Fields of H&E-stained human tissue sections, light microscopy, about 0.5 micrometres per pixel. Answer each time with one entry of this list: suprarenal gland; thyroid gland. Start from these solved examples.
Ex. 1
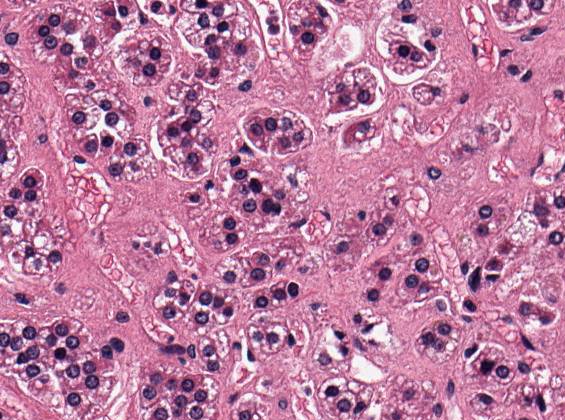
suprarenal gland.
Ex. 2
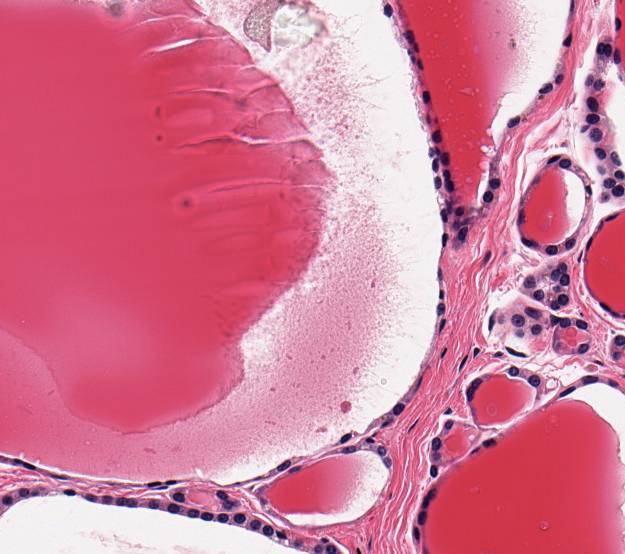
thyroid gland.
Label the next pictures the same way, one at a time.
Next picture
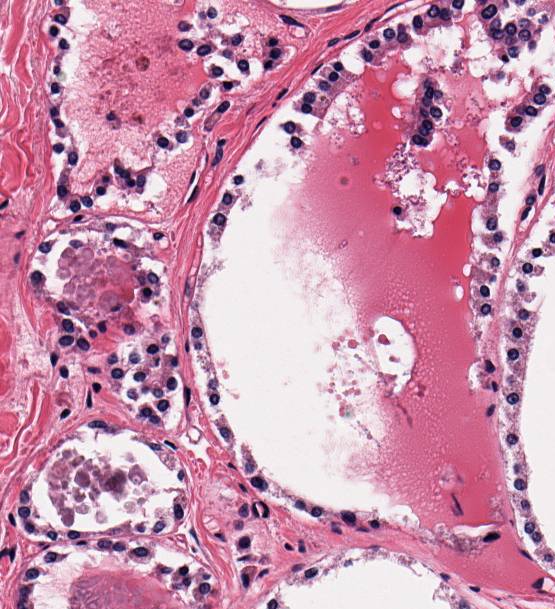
thyroid gland.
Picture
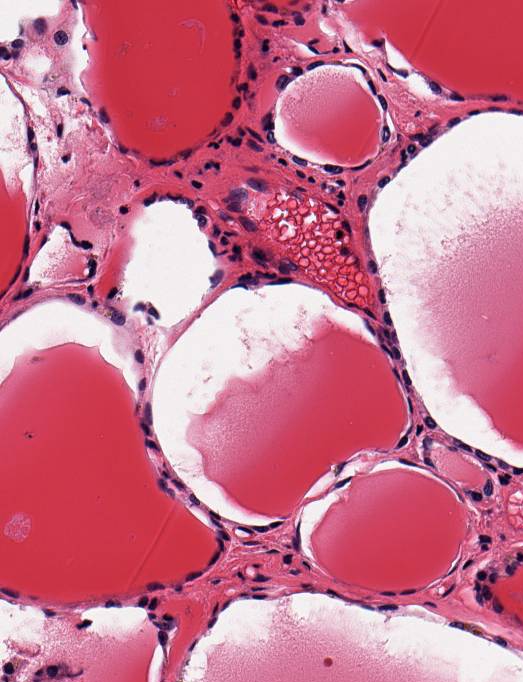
thyroid gland.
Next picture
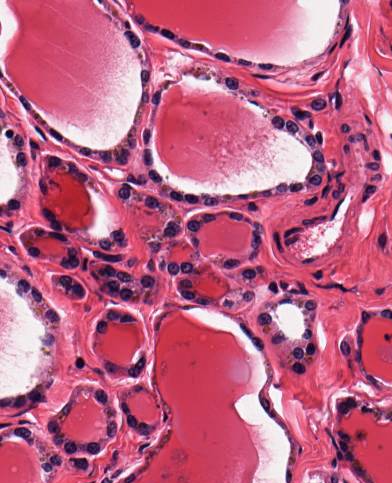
thyroid gland.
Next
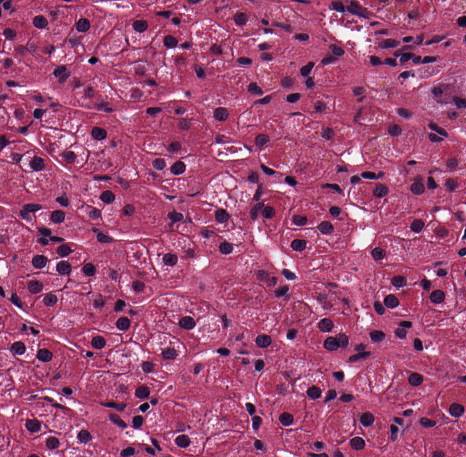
suprarenal gland.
